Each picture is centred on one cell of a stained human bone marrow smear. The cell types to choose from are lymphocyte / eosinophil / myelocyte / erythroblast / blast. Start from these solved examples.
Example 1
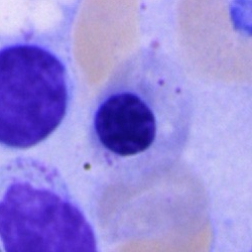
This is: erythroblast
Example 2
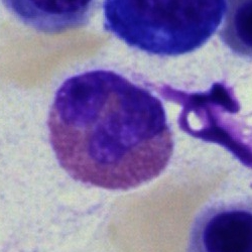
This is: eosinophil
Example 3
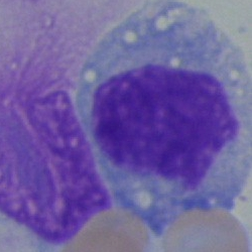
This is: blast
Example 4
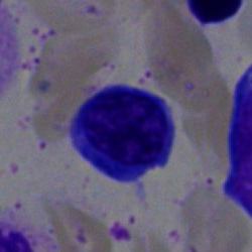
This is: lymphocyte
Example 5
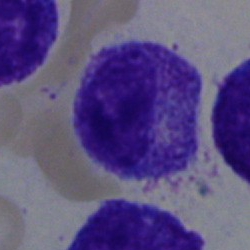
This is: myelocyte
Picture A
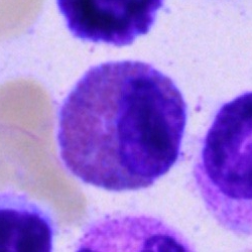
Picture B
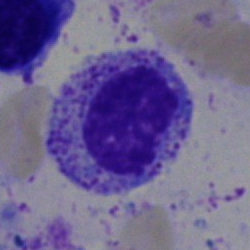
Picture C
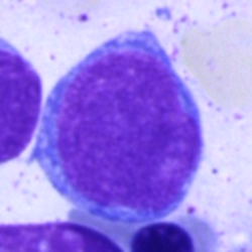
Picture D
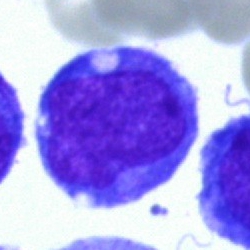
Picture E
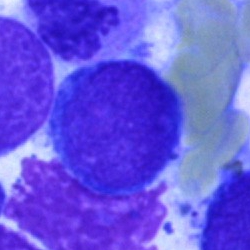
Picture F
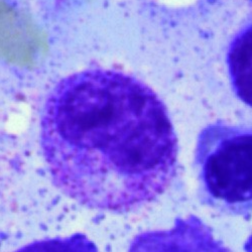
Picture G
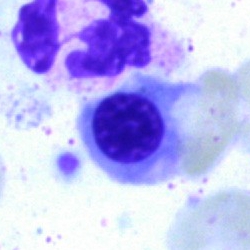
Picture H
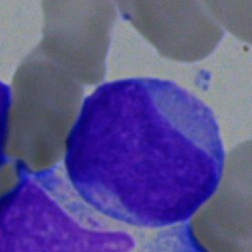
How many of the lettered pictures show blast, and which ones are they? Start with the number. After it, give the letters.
Count: 4 (C, D, E, H)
